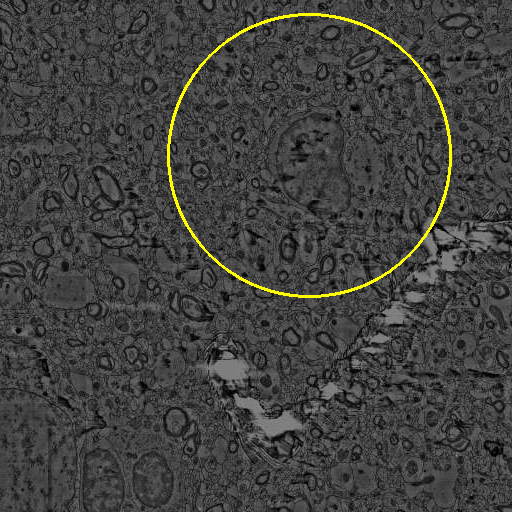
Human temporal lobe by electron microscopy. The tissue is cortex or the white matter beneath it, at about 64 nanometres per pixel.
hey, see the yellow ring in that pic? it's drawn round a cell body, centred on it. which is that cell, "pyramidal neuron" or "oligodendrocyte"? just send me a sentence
The cell in the ring is an oligodendrocyte.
